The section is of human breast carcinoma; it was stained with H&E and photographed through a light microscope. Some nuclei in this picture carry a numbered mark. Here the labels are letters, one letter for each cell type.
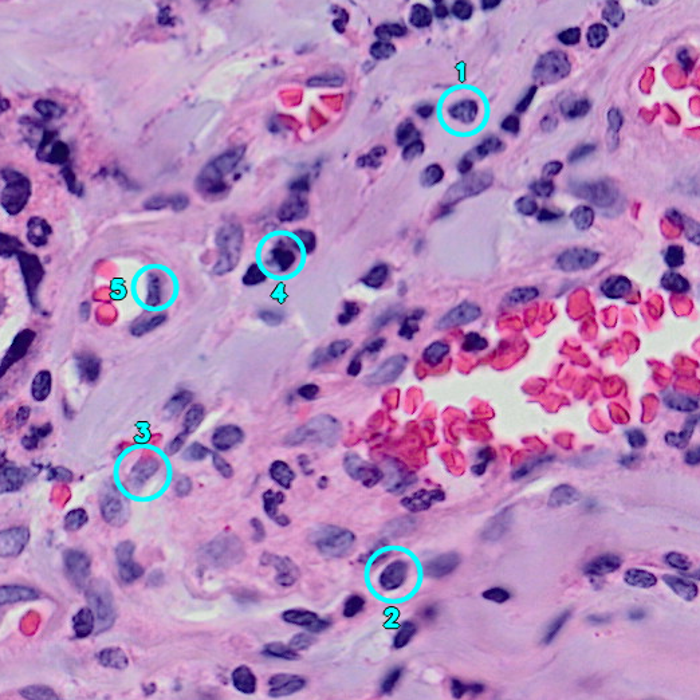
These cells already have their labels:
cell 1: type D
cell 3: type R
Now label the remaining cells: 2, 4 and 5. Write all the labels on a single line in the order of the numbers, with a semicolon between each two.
type D; type D; type R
